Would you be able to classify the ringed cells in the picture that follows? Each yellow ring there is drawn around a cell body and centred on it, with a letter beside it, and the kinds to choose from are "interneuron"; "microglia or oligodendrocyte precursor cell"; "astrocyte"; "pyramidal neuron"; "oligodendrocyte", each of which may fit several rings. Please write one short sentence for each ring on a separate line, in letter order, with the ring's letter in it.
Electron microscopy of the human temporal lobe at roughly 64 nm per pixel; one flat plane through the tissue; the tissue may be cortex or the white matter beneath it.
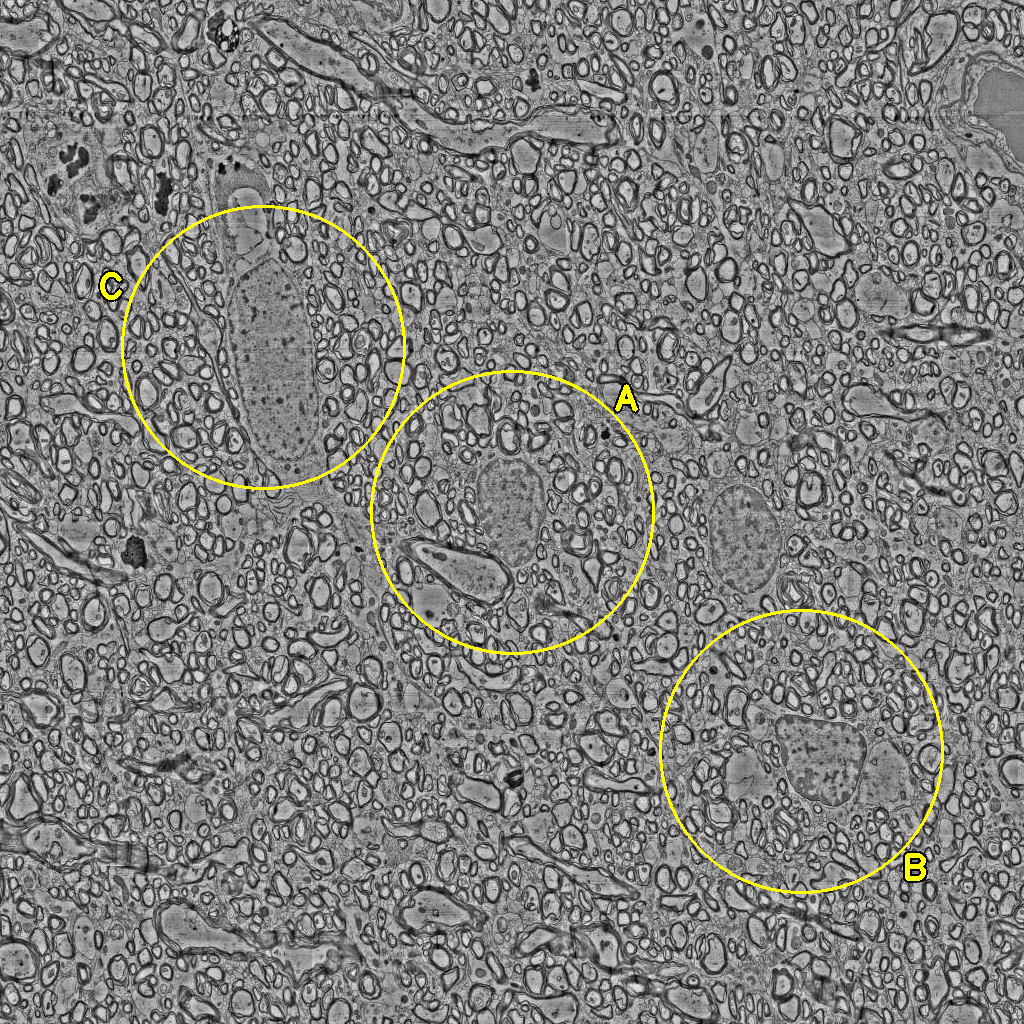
The cell body at the centre of ring A belongs to an oligodendrocyte.
The cell body at the centre of ring B belongs to a microglial cell or oligodendrocyte precursor cell.
The cell body at the centre of ring C belongs to an astrocyte.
